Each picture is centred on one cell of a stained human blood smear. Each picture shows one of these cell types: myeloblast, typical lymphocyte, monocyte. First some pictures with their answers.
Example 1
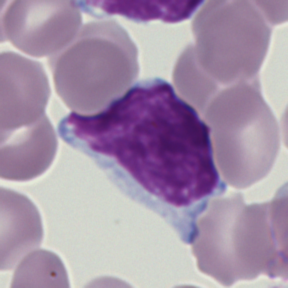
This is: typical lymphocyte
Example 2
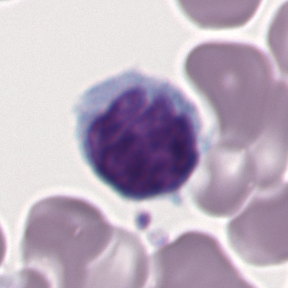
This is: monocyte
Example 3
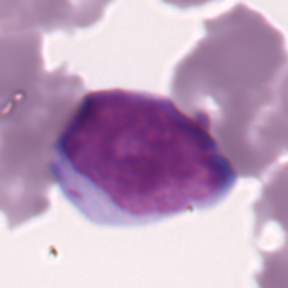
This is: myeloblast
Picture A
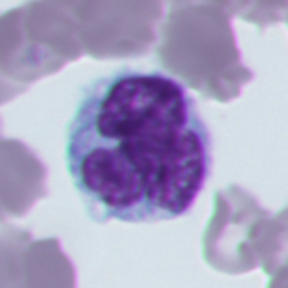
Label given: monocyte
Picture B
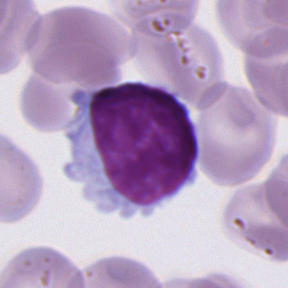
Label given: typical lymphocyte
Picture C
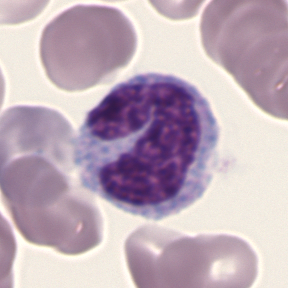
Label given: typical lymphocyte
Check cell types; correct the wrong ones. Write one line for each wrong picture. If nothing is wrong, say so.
C is labelled typical lymphocyte; correct label: monocyte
